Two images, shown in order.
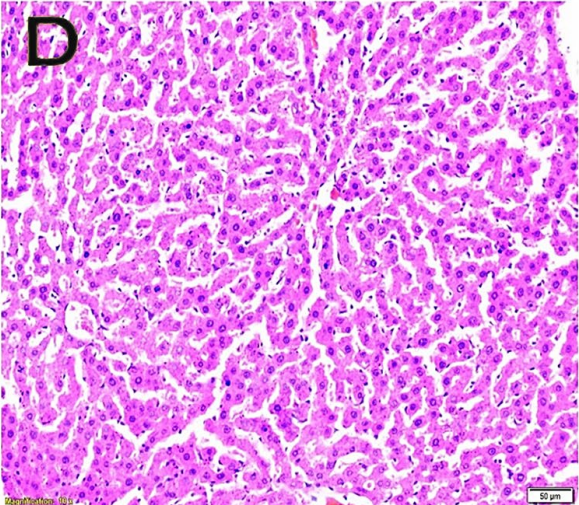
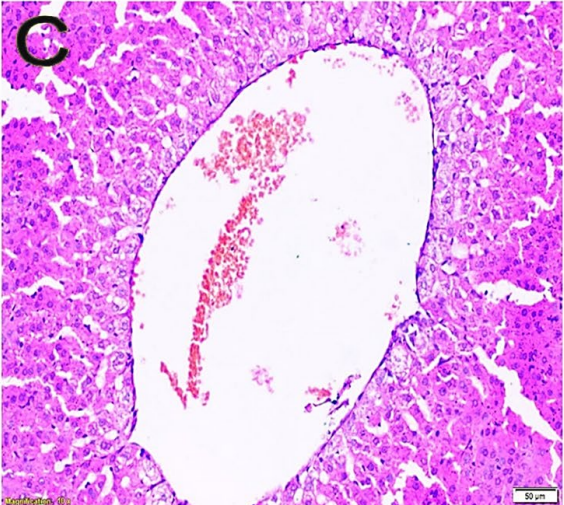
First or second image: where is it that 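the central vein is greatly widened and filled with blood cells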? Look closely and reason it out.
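The second image. First image: no large vessel lumen is seen, only narrow channels between cell plates. Second image: a very large oval lumen containing clustered red blood cells occupies much of the field.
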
